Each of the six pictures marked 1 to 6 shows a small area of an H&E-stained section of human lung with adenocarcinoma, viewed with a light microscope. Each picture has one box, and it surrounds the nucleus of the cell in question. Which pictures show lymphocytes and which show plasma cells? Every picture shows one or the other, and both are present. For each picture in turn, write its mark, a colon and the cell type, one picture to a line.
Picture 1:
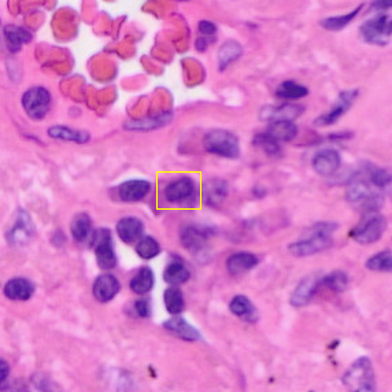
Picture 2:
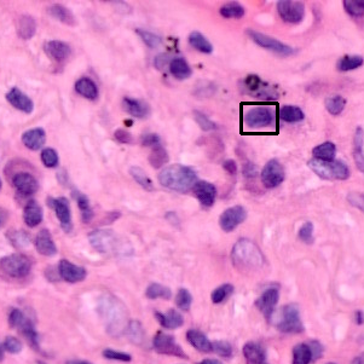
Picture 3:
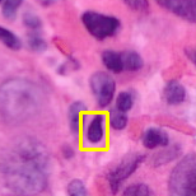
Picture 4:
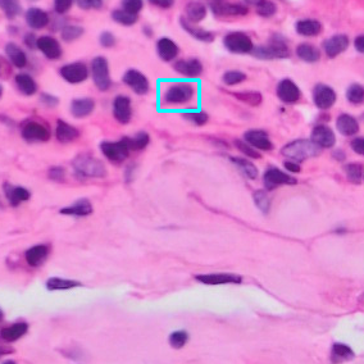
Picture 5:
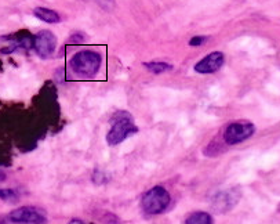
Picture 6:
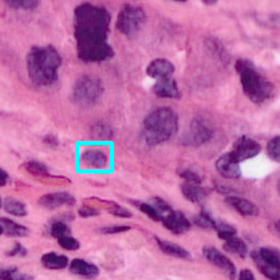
1: plasma cell
2: lymphocyte
3: lymphocyte
4: lymphocyte
5: plasma cell
6: lymphocyte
